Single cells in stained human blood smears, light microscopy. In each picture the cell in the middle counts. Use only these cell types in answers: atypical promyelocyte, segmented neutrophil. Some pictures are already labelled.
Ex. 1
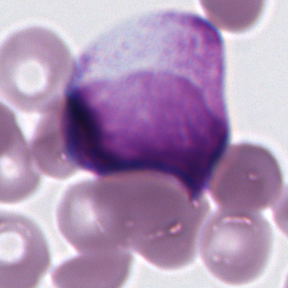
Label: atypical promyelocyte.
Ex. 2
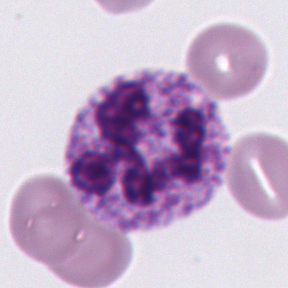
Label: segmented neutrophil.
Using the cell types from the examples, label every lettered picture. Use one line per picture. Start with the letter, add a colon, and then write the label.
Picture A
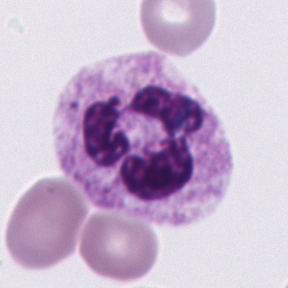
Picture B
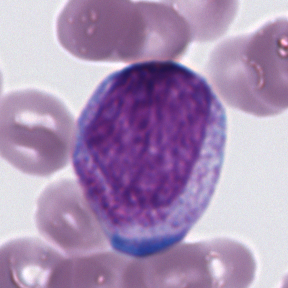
A: segmented neutrophil.
B: atypical promyelocyte.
